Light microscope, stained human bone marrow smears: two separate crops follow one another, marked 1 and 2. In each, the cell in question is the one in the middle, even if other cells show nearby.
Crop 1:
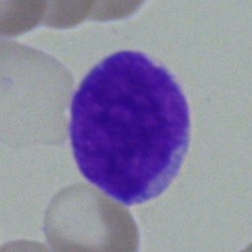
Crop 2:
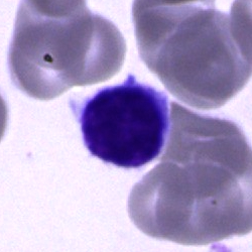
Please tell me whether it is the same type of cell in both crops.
no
